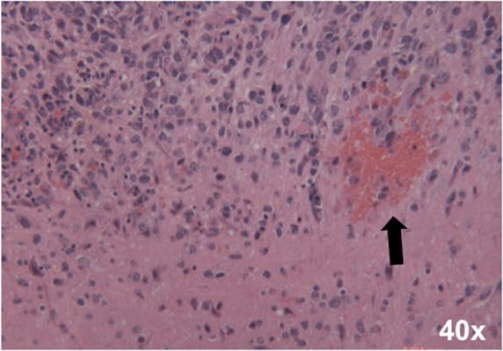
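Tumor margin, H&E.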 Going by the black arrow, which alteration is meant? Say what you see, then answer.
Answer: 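A patch of bright red-orange material lies next to the arrow tip. The red patch lies outside vessel outlines within the tissue. It sits in a cellular zone next to paler pink tissue. On this evidence: microhemorrhage.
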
